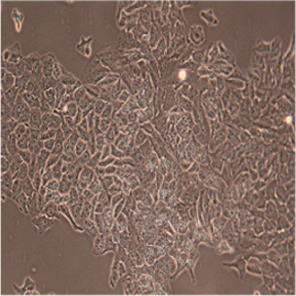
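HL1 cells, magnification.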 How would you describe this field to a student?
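These are cultured cardiomyocytes grown as a flat layer, and here they are packed closely into a continuous sheet that covers most of the field. The individual cells are flattened and polygonal to spindle-shaped, their borders touching those of their neighbours, and only a few rounded bright cells lie at the edges of the sheet.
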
